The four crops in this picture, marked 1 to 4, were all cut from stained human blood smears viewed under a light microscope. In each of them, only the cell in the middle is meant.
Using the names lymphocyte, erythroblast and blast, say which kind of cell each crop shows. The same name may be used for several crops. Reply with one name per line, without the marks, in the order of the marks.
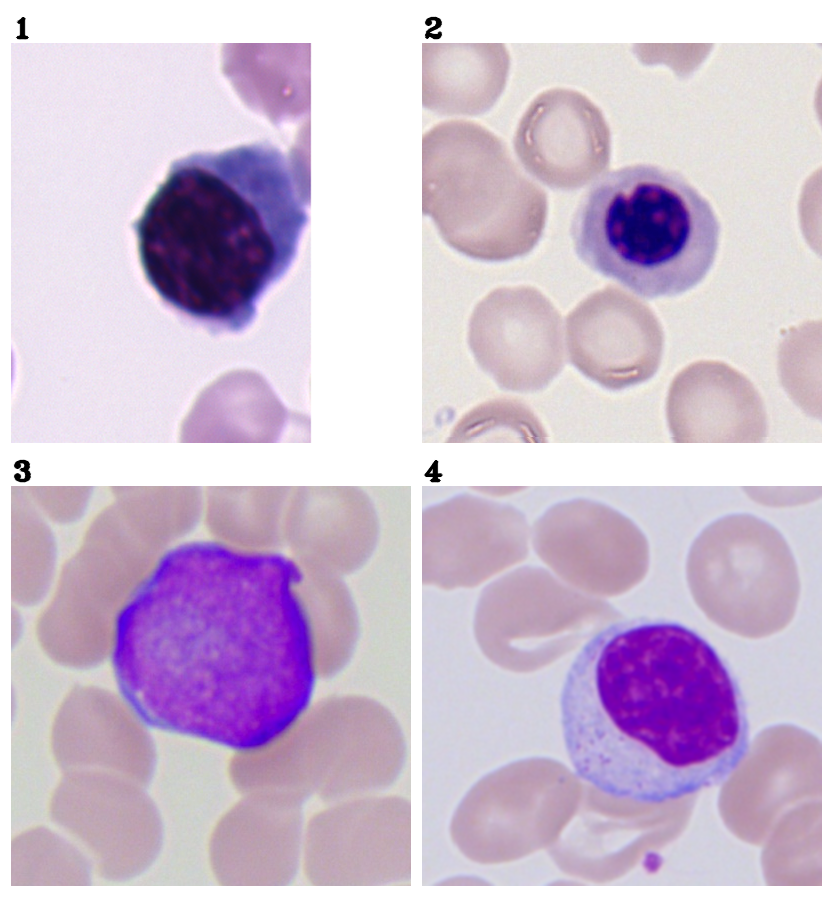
erythroblast
erythroblast
blast
lymphocyte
